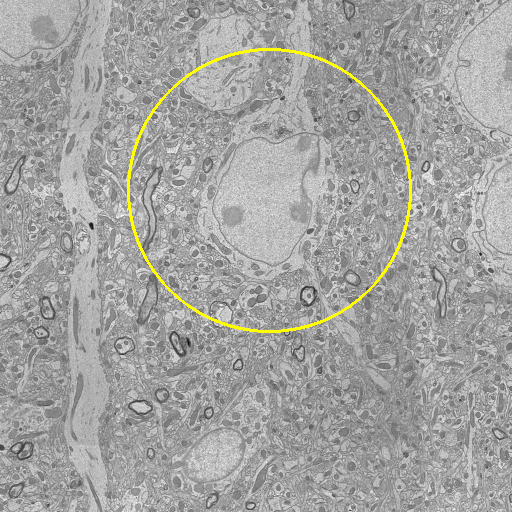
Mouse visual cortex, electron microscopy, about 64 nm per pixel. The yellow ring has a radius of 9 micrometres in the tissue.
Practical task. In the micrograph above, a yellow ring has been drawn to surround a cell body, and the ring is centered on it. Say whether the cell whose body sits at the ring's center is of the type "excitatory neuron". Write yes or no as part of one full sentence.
Yes, the cell at the center of the ring above is of the type asked about.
